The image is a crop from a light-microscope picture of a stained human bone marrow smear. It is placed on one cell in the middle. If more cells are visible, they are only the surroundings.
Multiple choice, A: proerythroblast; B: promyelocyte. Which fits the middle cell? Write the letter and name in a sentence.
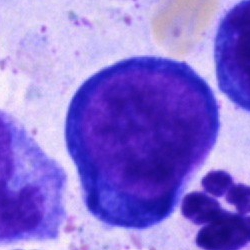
For this crop, option A is right, the centered cell being a proerythroblast.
